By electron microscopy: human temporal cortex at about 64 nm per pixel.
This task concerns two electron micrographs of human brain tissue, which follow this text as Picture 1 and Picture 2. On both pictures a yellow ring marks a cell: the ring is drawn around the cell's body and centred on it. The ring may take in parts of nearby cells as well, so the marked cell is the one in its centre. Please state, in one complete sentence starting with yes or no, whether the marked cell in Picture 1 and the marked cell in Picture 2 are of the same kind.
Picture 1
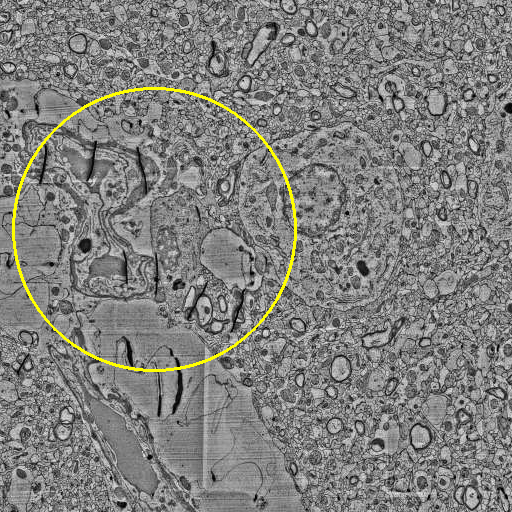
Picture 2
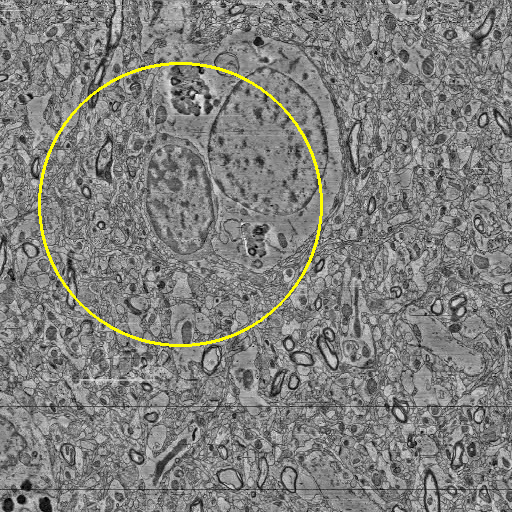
Yes, the marked cells in both pictures are of the same kind.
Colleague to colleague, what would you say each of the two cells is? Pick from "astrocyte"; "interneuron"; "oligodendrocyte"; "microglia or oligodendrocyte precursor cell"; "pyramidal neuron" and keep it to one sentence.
Both pictures show an oligodendrocyte at the centre of the ring.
